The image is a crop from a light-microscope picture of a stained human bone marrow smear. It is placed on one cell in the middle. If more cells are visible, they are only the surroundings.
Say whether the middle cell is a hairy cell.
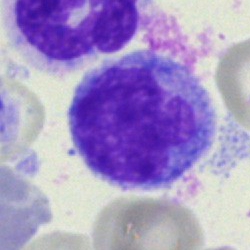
no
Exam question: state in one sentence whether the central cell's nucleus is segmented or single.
What stands out is a nucleus forming one compact round, oval or kidney-shaped mass.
